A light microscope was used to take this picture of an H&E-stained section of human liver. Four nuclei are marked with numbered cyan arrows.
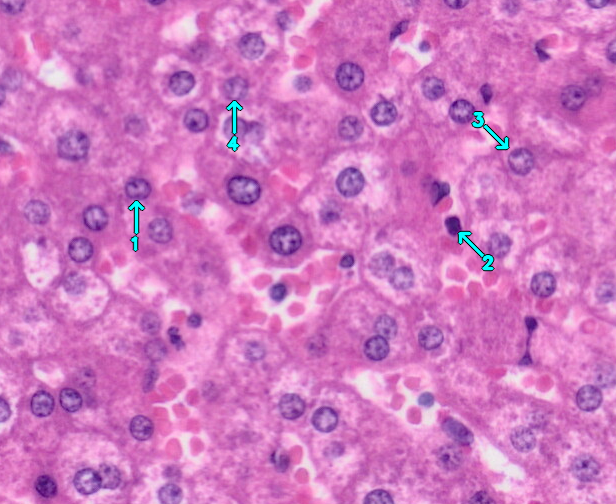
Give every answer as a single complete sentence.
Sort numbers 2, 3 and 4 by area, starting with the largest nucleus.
Largest first, the order by area is 3, 4, 2.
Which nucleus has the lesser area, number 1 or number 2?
Nucleus 2 covers less area, with nucleus 1 about 1.5 times as large.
